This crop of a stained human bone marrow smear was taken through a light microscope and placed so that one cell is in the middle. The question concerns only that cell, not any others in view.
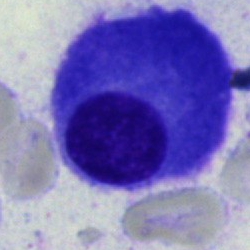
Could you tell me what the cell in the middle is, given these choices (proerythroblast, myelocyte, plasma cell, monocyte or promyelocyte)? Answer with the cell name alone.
plasma cell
